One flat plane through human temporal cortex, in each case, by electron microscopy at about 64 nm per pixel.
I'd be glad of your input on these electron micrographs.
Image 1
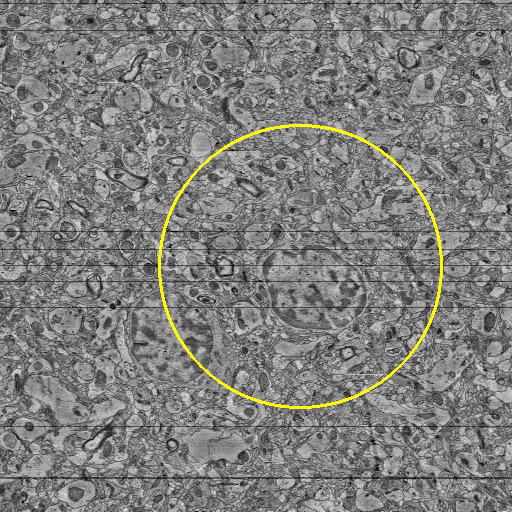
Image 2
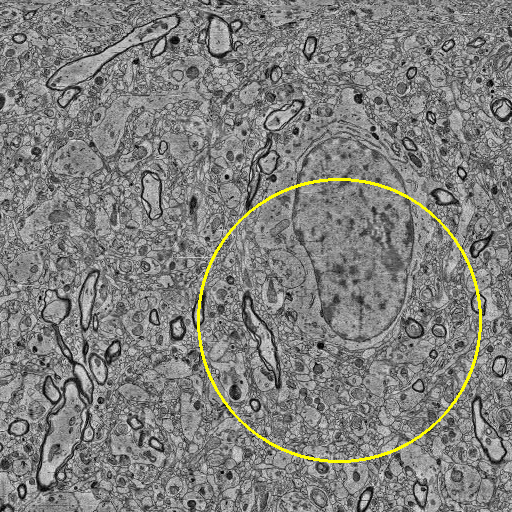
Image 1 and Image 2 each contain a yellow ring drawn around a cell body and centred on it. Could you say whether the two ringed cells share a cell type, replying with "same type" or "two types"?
same type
